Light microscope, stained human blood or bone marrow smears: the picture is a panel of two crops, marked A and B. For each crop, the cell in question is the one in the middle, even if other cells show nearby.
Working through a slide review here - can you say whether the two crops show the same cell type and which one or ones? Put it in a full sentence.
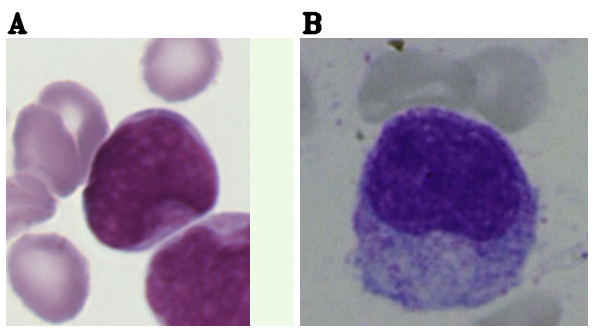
No, crop A offers a blast, while crop B offers a myelocyte.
